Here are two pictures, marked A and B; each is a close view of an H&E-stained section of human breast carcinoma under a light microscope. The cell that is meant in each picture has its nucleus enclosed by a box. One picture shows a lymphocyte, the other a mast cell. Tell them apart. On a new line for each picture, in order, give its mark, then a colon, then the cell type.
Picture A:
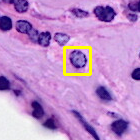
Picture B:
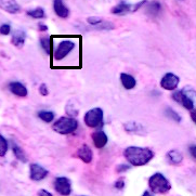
A: mast cell
B: lymphocyte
